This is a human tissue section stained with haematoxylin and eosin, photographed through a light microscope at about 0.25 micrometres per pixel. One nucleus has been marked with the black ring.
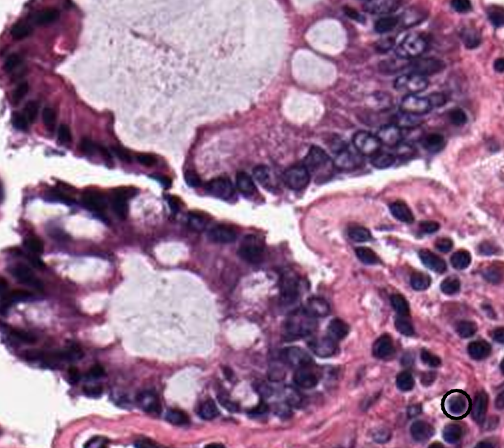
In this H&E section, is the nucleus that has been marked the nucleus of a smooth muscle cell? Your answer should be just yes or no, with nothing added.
no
